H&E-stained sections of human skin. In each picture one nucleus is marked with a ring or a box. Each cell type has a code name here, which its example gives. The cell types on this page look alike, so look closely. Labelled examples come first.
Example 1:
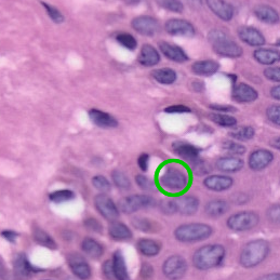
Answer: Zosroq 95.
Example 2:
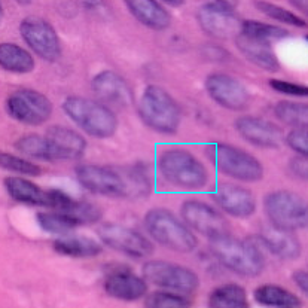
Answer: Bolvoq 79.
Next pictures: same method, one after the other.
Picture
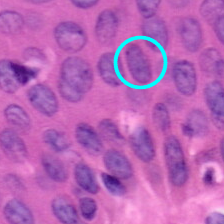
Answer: Bolvoq 79.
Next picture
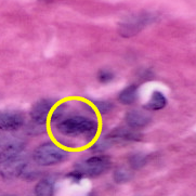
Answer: Zosroq 95.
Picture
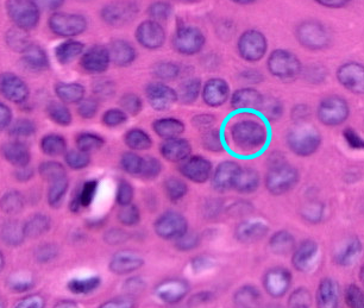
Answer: Bolvoq 79.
